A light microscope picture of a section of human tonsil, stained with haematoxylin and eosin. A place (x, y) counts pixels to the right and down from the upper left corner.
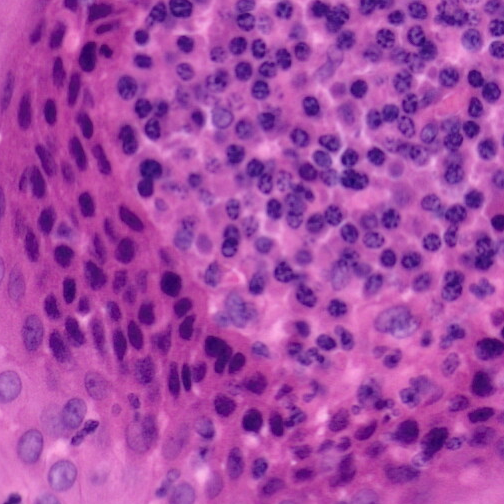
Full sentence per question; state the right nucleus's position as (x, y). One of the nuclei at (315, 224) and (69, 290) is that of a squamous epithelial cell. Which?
The nucleus at (69, 290) belongs to a squamous epithelial cell, which distinguishes it from the other nucleus.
